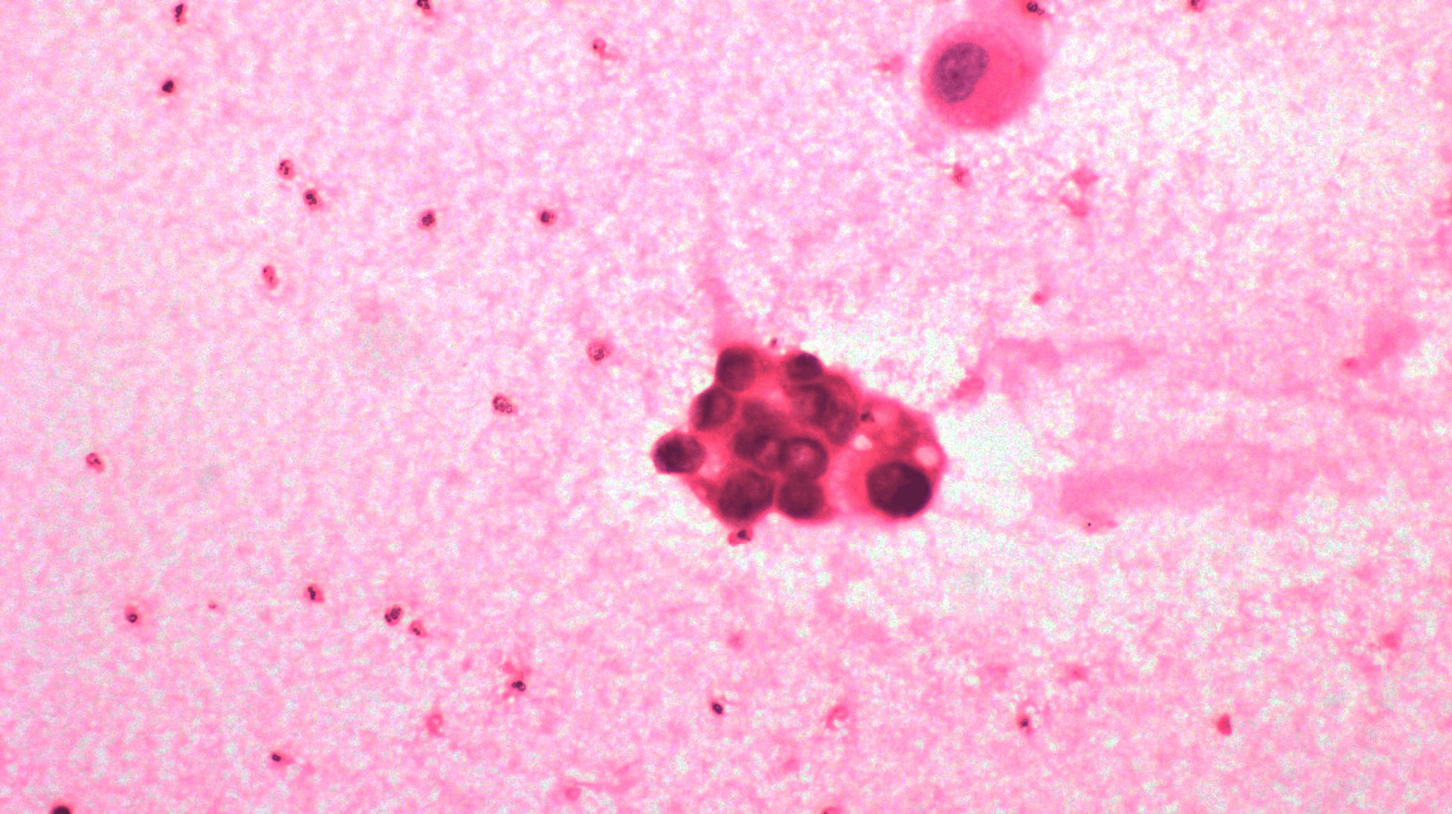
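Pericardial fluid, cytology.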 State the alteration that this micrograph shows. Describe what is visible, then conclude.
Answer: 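Nuclei in the central cluster are large relative to their cytoplasm. Nuclei stain very dark purple. Nuclei vary somewhat in size within the cluster. That points to this answer: enlarged hyperchromatic nuclei.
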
